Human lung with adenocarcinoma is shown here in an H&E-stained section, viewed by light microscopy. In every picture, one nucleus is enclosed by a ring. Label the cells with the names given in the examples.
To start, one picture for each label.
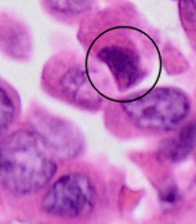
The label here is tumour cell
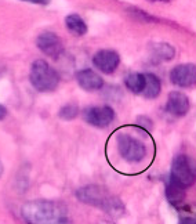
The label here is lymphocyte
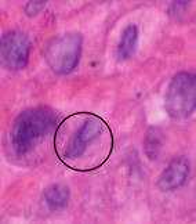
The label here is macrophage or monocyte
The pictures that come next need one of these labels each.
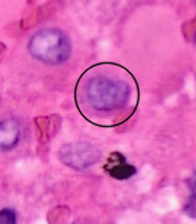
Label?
macrophage or monocyte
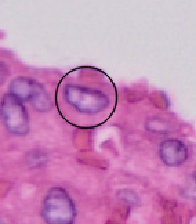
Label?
macrophage or monocyte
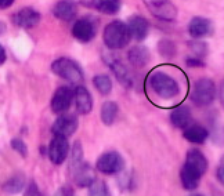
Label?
lymphocyte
